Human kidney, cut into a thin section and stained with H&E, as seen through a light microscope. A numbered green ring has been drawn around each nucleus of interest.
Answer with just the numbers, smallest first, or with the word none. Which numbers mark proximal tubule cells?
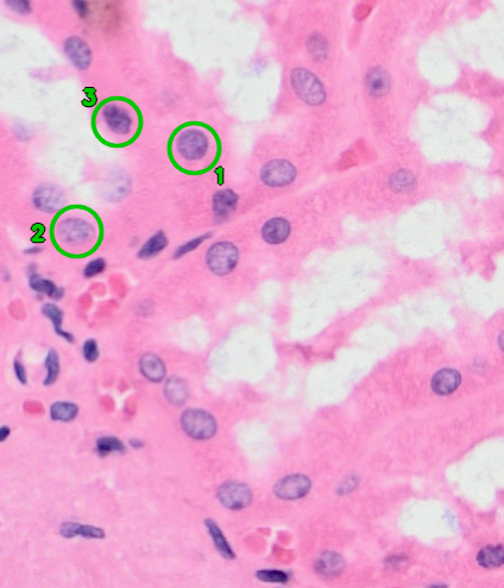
1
